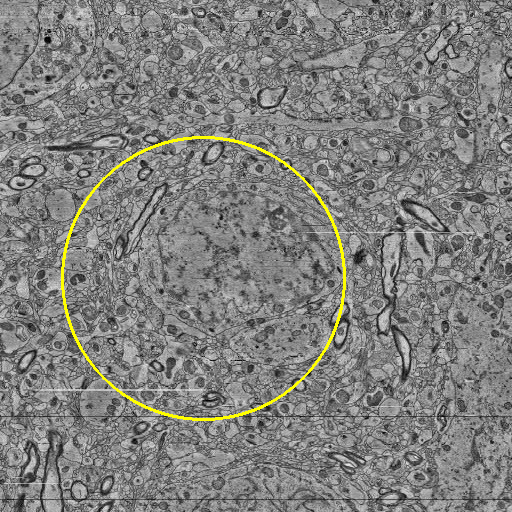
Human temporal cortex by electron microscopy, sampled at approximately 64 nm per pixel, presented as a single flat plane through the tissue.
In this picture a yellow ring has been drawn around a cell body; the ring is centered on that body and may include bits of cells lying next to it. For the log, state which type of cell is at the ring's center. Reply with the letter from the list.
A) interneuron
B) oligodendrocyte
A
